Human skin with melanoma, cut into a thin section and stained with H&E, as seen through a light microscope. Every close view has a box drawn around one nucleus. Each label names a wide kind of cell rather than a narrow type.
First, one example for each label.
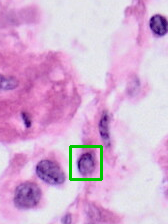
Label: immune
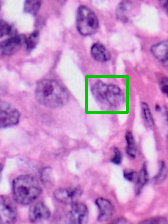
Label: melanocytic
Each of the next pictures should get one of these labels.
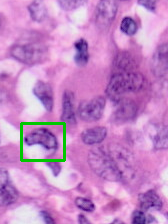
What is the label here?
melanocytic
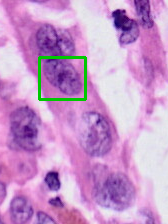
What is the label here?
melanocytic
